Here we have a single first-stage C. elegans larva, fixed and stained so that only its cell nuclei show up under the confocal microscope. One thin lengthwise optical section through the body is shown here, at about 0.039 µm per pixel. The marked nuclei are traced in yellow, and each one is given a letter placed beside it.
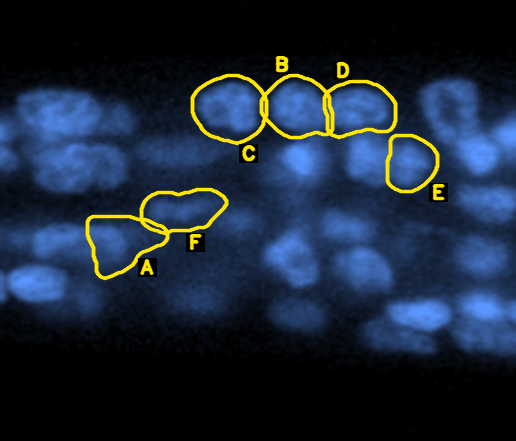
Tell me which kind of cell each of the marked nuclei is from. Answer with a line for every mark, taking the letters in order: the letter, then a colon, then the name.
A: pharyngeal epithelial cell
B: hypodermal cell (hyp)
C: hypodermal cell (hyp)
D: hypodermal cell (hyp)
E: neuron
F: pharyngeal muscle cell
